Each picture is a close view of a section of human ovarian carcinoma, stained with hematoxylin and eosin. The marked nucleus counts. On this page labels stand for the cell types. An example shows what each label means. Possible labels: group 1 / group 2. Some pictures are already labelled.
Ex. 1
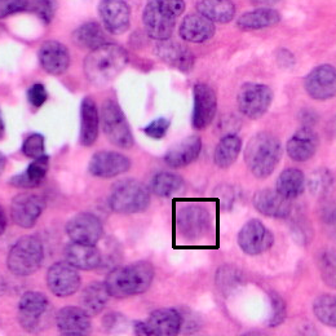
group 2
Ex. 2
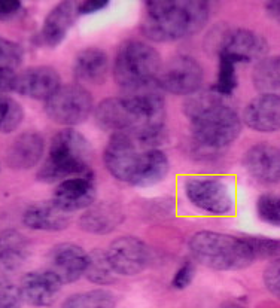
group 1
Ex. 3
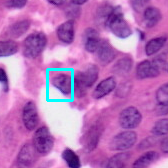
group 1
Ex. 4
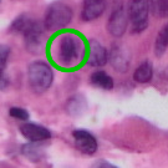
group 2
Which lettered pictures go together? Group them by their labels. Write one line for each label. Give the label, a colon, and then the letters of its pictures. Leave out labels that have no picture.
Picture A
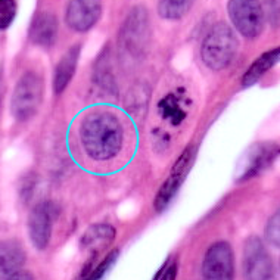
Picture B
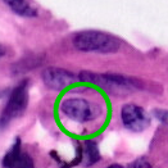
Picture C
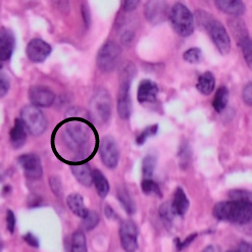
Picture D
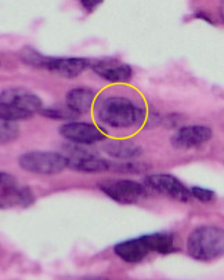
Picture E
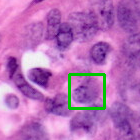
group 1: A, B, E
group 2: C, D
